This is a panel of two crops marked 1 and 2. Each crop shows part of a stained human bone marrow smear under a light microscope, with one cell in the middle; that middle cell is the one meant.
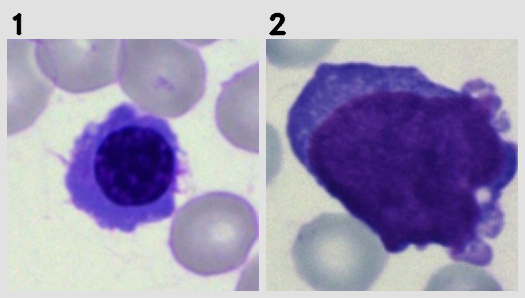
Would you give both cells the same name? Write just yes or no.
no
